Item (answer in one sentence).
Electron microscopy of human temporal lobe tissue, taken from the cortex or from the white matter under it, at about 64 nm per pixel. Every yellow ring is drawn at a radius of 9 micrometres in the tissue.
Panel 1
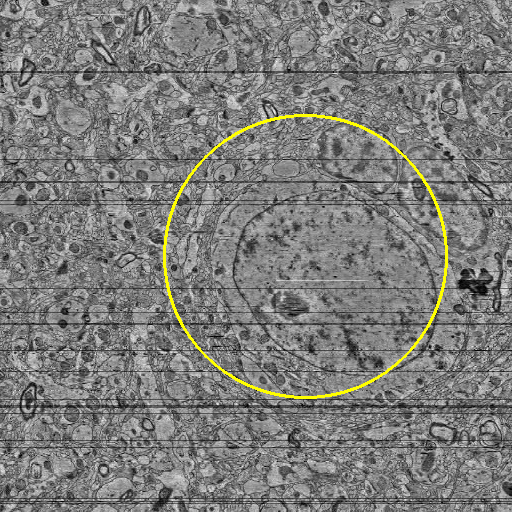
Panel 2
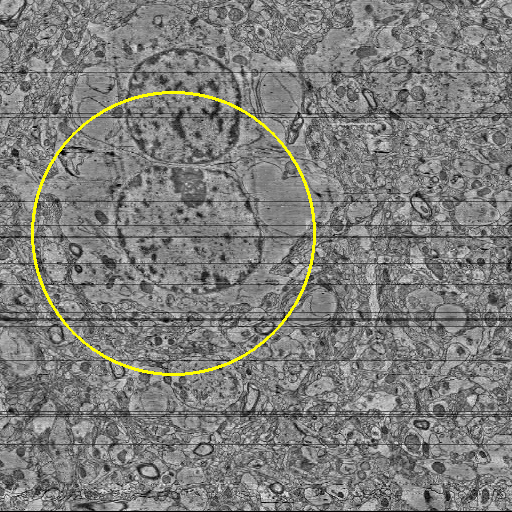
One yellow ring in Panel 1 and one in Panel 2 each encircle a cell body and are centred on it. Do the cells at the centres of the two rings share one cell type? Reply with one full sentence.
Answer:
No, Panel 1 and Panel 2 show cells of two types at the centres of their rings.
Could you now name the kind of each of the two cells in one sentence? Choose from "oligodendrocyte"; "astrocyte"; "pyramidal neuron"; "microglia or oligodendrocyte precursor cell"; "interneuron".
The first ring encloses a pyramidal neuron; the second ring encloses an astrocyte.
